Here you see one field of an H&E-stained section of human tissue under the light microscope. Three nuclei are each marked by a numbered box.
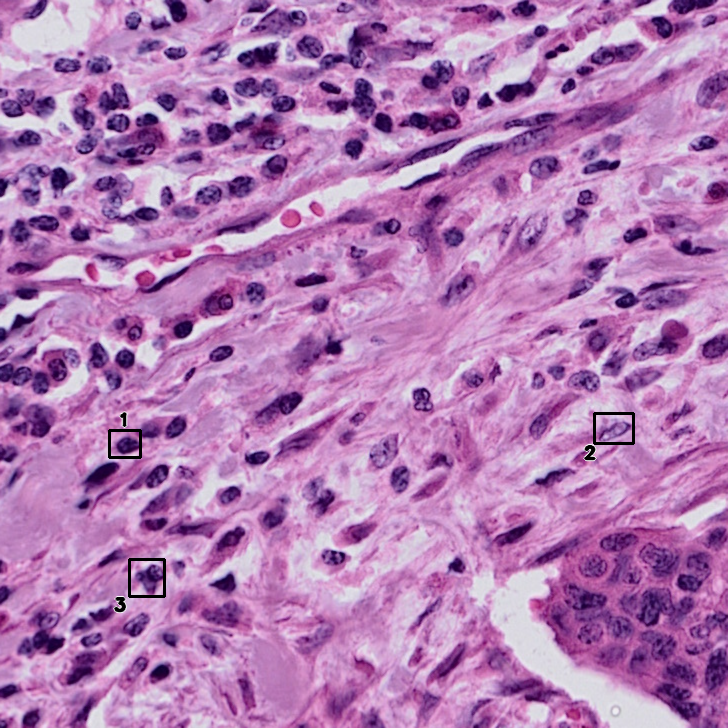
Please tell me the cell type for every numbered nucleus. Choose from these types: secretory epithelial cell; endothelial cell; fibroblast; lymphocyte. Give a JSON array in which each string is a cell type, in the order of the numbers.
["lymphocyte", "fibroblast", "lymphocyte"]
